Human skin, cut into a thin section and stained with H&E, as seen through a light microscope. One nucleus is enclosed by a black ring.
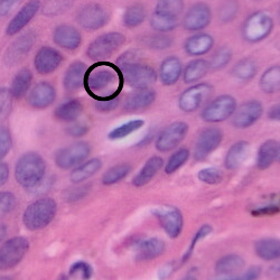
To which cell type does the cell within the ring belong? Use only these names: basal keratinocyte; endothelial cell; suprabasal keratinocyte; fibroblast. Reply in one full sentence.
As to its cell type, the cell within the ring is a basal keratinocyte.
